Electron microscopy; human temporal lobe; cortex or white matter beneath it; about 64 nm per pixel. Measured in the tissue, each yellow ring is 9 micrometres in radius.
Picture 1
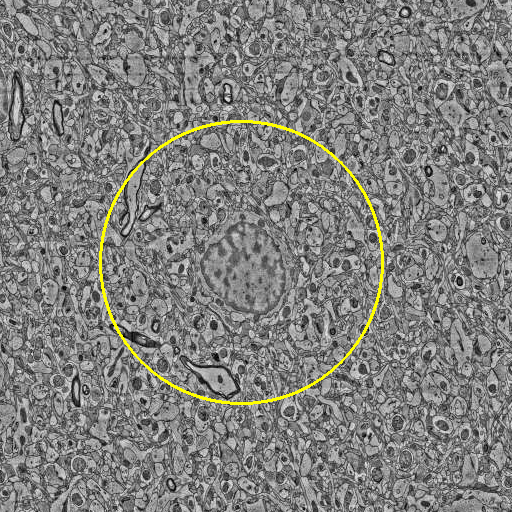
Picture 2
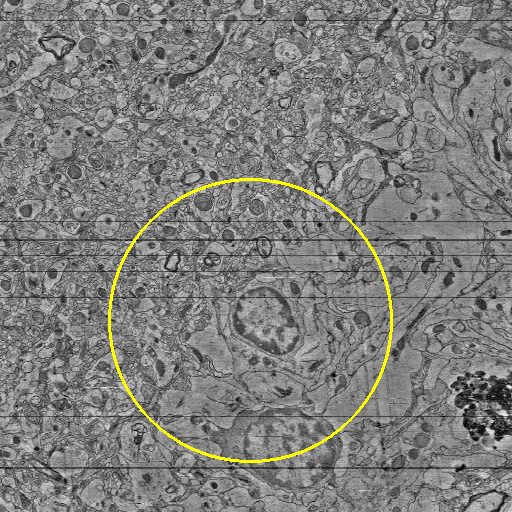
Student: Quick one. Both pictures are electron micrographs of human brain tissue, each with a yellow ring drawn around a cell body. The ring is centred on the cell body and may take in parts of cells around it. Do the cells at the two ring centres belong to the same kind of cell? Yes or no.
yes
